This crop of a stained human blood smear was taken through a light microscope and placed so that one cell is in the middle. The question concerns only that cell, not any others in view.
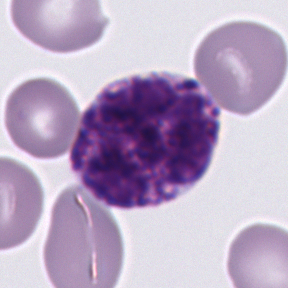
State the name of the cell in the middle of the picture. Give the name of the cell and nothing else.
basophil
